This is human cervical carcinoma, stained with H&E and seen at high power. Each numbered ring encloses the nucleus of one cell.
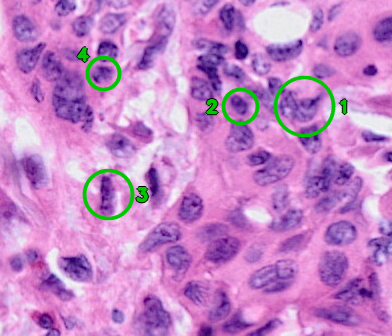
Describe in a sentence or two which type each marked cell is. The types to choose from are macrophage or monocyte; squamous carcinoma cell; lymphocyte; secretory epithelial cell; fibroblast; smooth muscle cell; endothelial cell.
Cells 1, 2 and 4 are squamous carcinoma cells. Cell 3 is a macrophage or monocyte.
